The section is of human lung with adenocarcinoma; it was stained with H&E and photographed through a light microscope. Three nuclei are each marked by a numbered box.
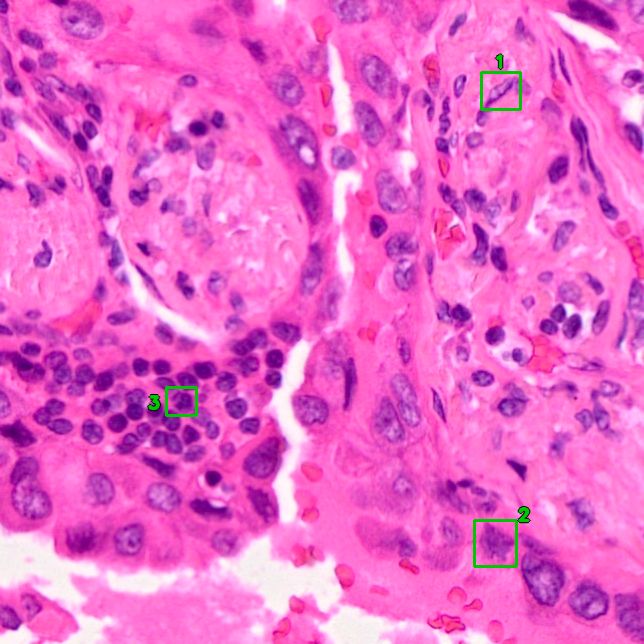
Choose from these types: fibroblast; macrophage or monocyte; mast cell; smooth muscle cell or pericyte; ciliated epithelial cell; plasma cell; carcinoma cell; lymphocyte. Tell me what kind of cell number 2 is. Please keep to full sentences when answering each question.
In the tissue shown, cell 2 is a carcinoma cell.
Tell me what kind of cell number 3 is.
That cell with number 3 is a lymphocyte.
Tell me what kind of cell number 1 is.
The cell marked with number 1 is a fibroblast.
